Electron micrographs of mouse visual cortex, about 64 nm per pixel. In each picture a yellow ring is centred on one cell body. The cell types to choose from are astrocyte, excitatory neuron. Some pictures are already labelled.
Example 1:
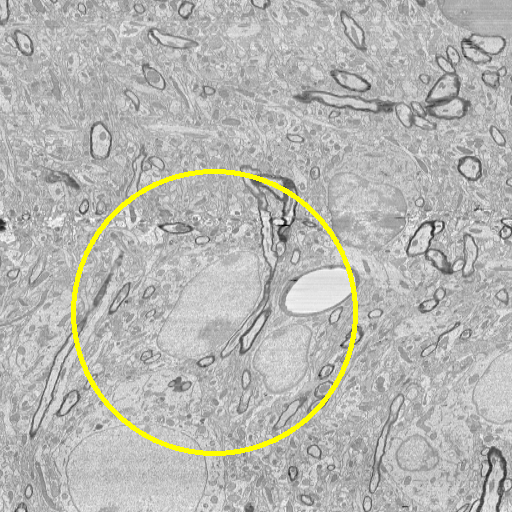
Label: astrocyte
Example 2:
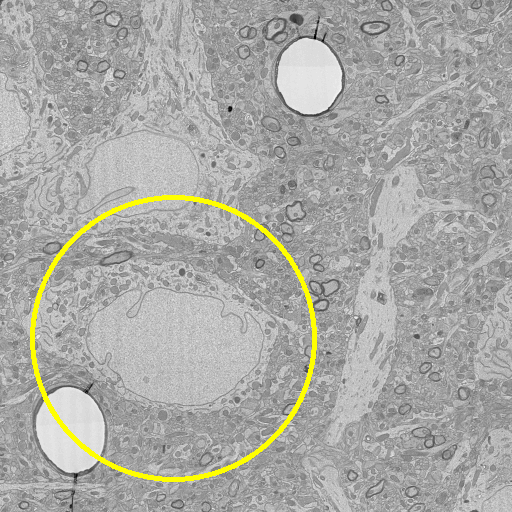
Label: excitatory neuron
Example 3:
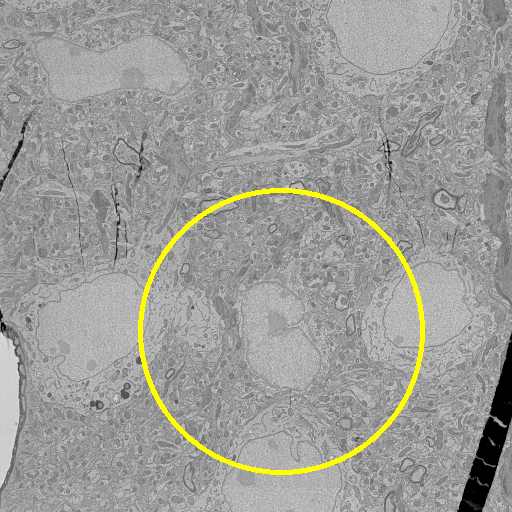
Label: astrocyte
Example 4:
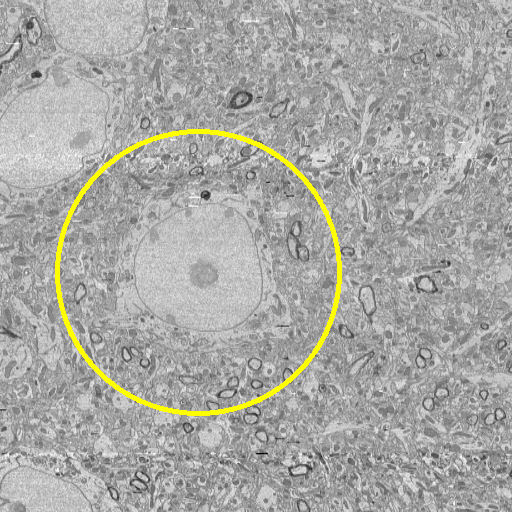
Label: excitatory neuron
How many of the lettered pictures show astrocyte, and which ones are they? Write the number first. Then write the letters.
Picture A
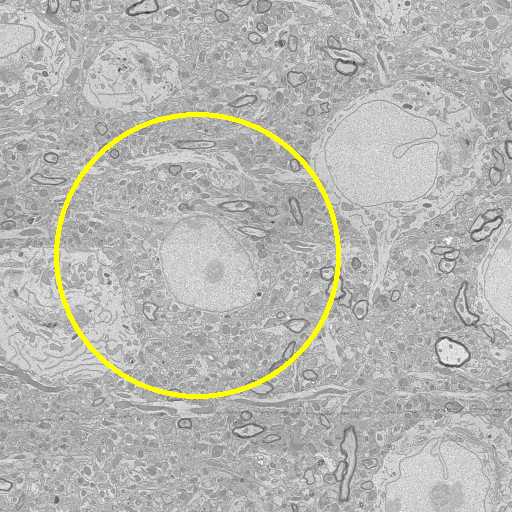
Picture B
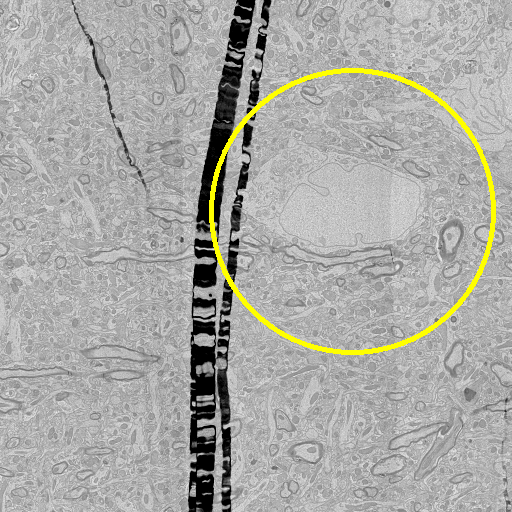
1: A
